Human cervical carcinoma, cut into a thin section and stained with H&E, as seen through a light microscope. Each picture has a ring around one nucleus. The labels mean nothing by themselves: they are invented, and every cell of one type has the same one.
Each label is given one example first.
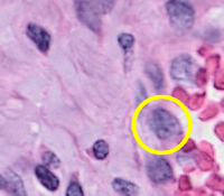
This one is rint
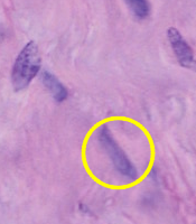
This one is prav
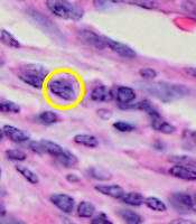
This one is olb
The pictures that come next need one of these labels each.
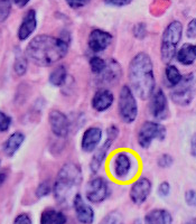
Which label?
olb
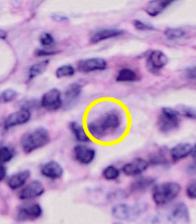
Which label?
olb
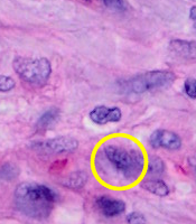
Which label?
rint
